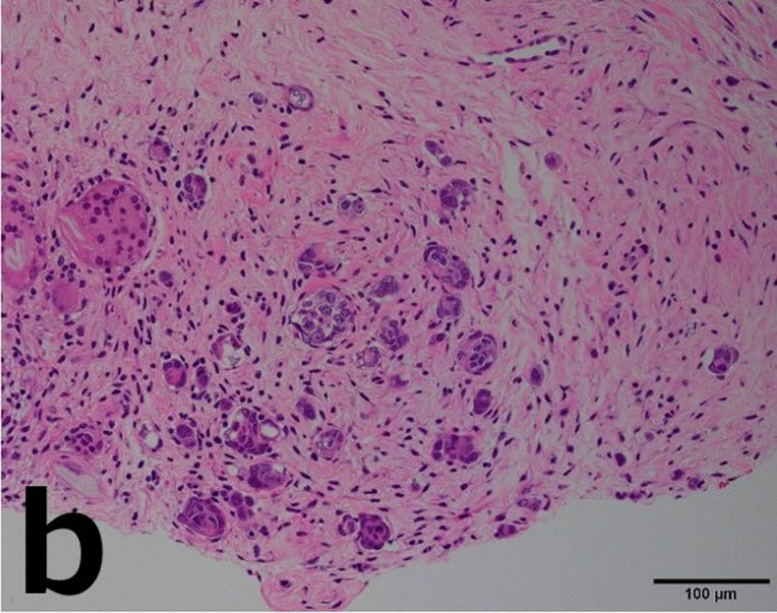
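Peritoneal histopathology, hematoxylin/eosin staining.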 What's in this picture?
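Small nests of carcinoma cells lie scattered within a pale pink fibrous stroma rich in slender spindle-shaped nuclei. Each nest holds a few cells with enlarged, dark purple, irregular nuclei and pink cytoplasm, some set within small clear spaces.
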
